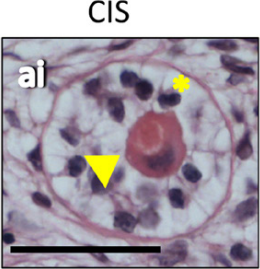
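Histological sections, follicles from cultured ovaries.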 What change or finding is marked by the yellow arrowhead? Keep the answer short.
Shrunk and eosinophilic cytoplasm.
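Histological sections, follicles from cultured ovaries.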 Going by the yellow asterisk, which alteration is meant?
Condensed chromatin.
